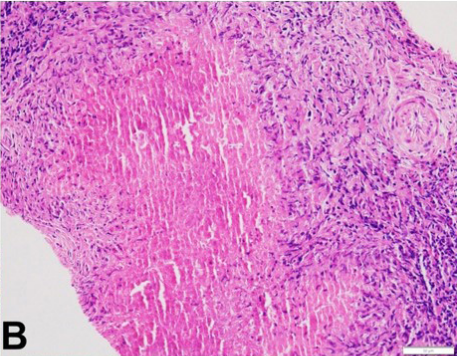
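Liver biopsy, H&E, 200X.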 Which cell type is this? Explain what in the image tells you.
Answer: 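Elongated cells with oval pale nuclei line up at the edge of a pink acellular area. The necrotic pink area lacks nuclei. The answer: palisading histiocytes.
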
